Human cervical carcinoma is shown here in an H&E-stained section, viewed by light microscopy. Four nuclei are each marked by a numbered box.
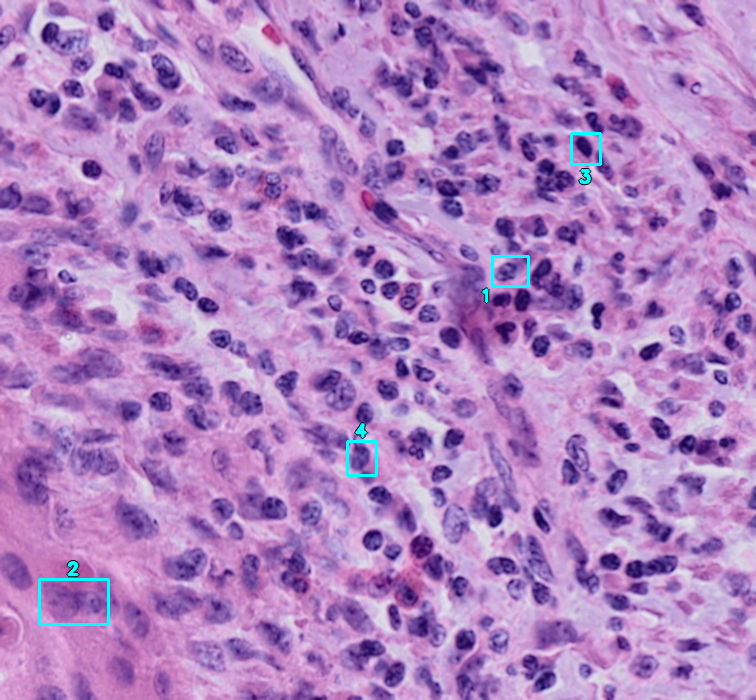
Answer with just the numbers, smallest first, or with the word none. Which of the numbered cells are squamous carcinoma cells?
2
